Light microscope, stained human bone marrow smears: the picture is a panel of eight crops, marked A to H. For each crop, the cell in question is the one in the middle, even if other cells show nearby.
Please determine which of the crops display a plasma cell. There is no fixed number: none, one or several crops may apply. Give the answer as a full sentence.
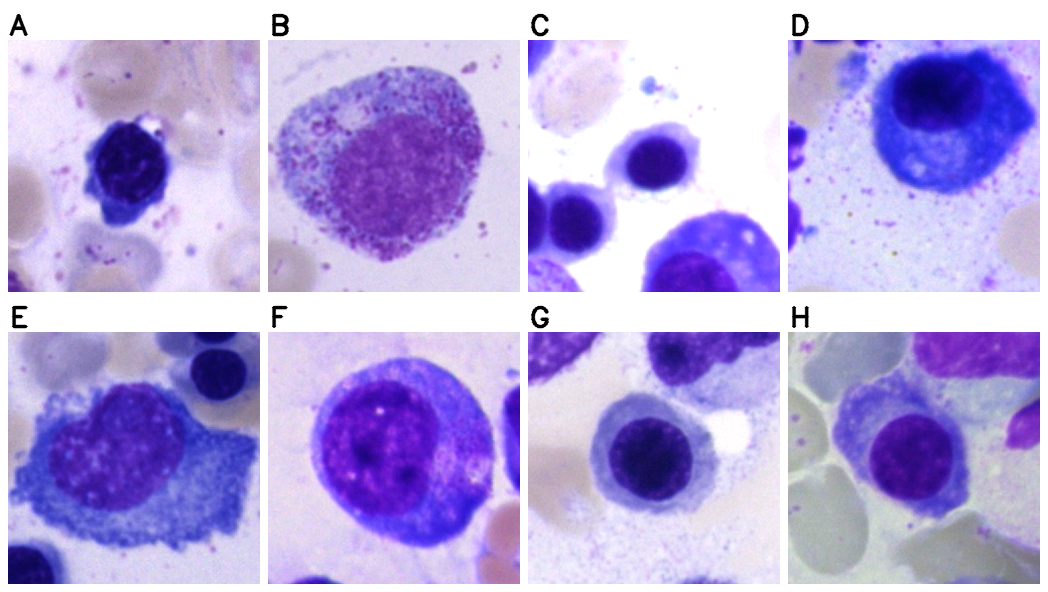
Shown in the centre of crops D, E and H are plasma cells.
